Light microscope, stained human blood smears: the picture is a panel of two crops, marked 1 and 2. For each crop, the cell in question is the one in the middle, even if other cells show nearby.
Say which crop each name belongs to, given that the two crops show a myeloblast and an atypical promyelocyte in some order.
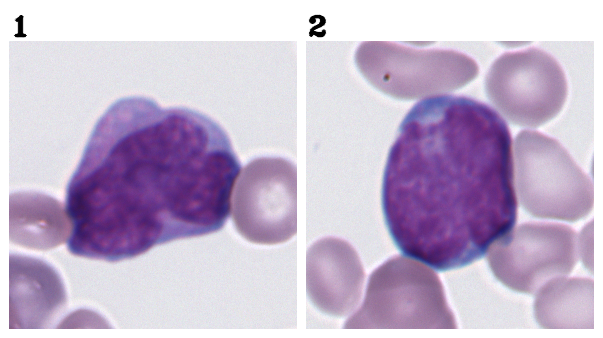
1: atypical promyelocyte
2: myeloblast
